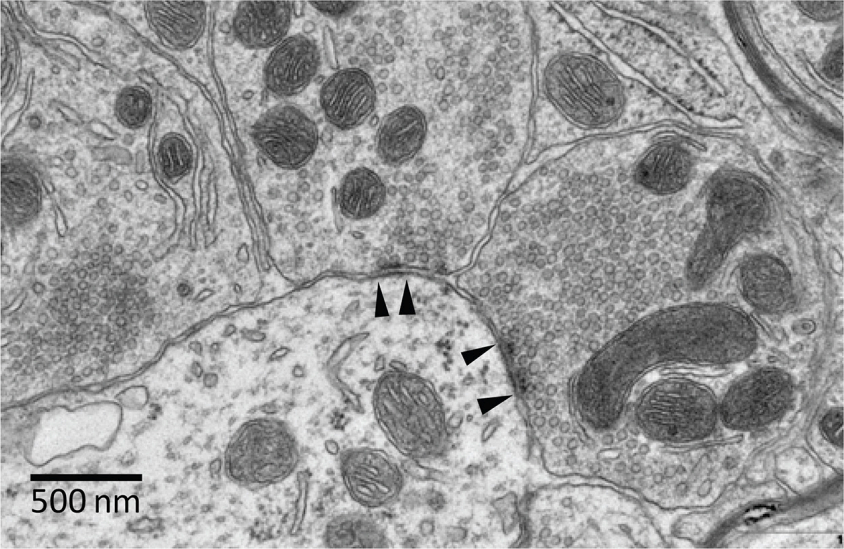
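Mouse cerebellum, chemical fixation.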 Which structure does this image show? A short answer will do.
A: presynaptic nerve terminals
